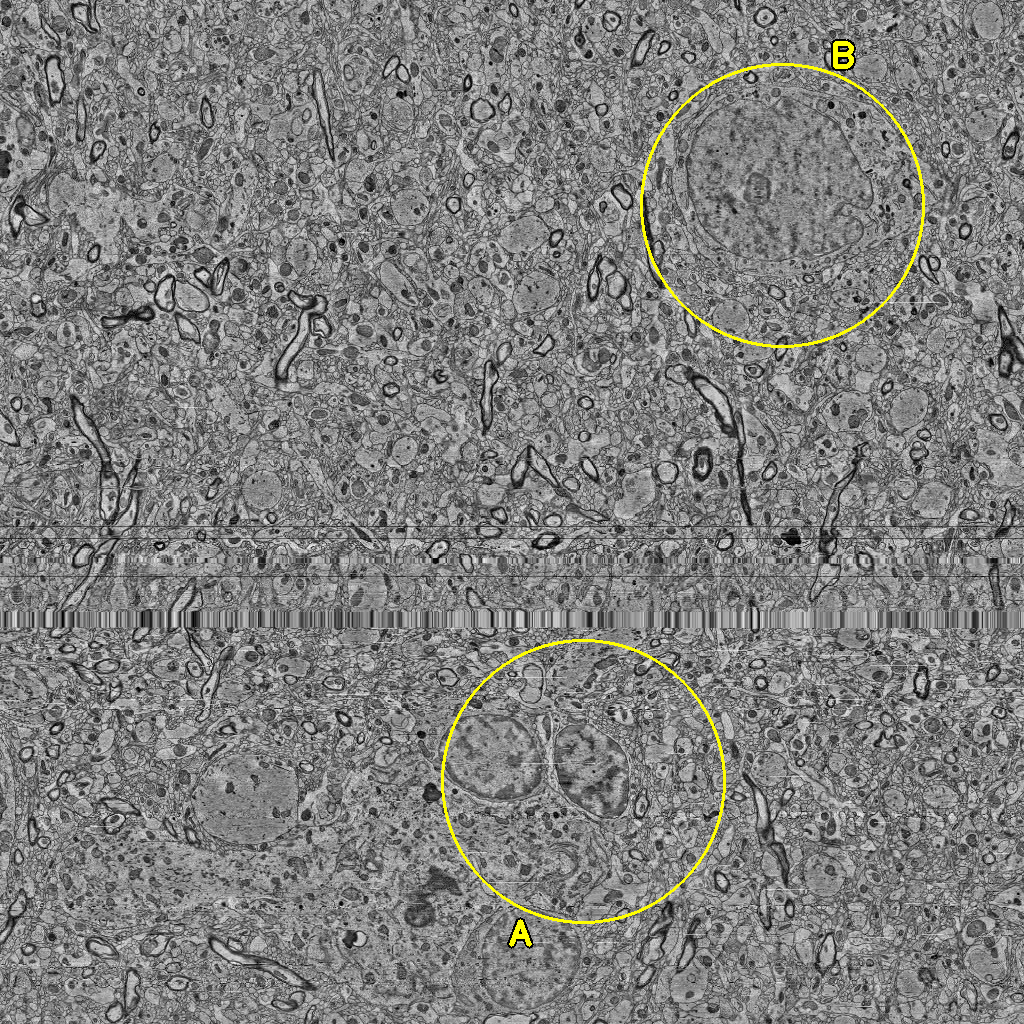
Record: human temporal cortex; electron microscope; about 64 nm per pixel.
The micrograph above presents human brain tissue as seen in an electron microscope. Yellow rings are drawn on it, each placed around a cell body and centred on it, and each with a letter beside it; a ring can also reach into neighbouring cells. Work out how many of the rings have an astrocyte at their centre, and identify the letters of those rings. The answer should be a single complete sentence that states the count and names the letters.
Among the lettered rings, none has an astrocyte at its centre, which makes the tally zero.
